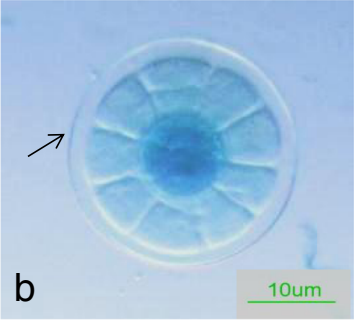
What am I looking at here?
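This is a glandular hair seen from above, with its secretory cells arranged like the segments of an orange around a central, darker blue cell. The wedge-shaped cells are pale blue, with clear walls between them, and together they form a round disc. Around this disc lies a wide, clear, unstained space, bounded outside by a thin transparent membrane that has lifted away from the cells.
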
